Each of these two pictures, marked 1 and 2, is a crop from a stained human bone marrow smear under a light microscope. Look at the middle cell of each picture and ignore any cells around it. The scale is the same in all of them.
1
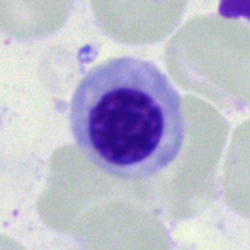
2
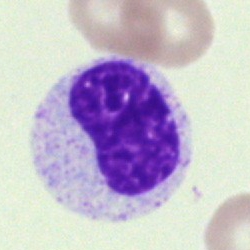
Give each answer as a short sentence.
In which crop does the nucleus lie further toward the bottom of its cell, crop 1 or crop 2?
The nucleus in crop 1 lies further toward the bottom of its cell.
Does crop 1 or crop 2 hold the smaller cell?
Crop 1 holds the smaller cell, since the cell in crop 2 covers about 2 times as much area.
